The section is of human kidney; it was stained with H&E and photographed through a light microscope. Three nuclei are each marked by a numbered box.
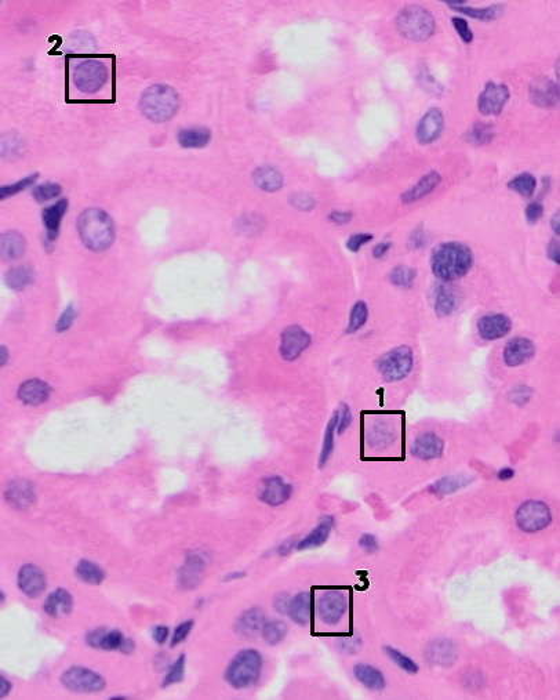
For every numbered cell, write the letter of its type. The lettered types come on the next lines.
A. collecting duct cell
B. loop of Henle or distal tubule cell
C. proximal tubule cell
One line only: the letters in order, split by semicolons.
B; C; A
